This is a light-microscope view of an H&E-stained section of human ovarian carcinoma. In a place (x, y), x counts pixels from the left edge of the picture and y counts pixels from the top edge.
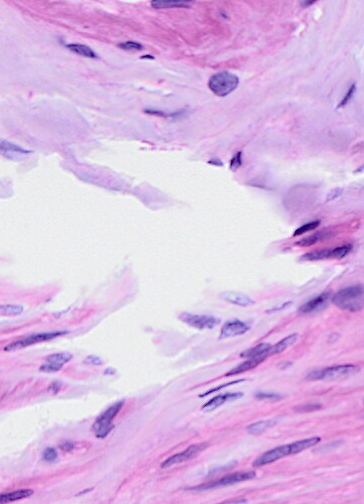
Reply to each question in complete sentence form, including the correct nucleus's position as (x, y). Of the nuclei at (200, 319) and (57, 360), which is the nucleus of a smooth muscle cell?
Of the two, the nucleus lying at (57, 360) is the one belonging to a smooth muscle cell.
